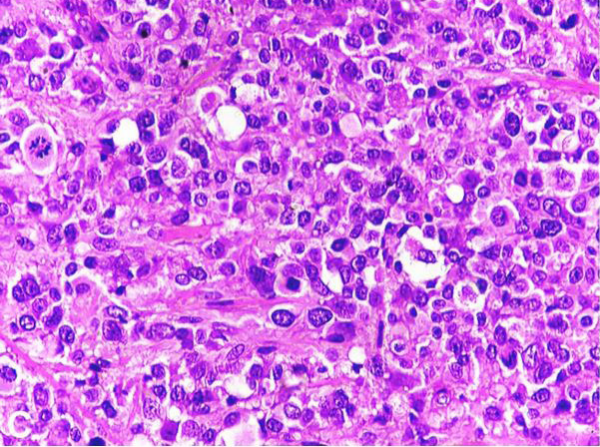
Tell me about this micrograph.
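Sheets of closely packed tumor cells, round to oval, with moderately abundant pink cytoplasm and large nuclei with open chromatin and visible nucleoli. Nuclear size varies, and a few cells have larger, darker, irregular nuclei. At least one mitotic figure with condensed chromosomes is visible. Small clear round vacuoles are scattered between the cells, and thin pink strands of stroma run through the sheet.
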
